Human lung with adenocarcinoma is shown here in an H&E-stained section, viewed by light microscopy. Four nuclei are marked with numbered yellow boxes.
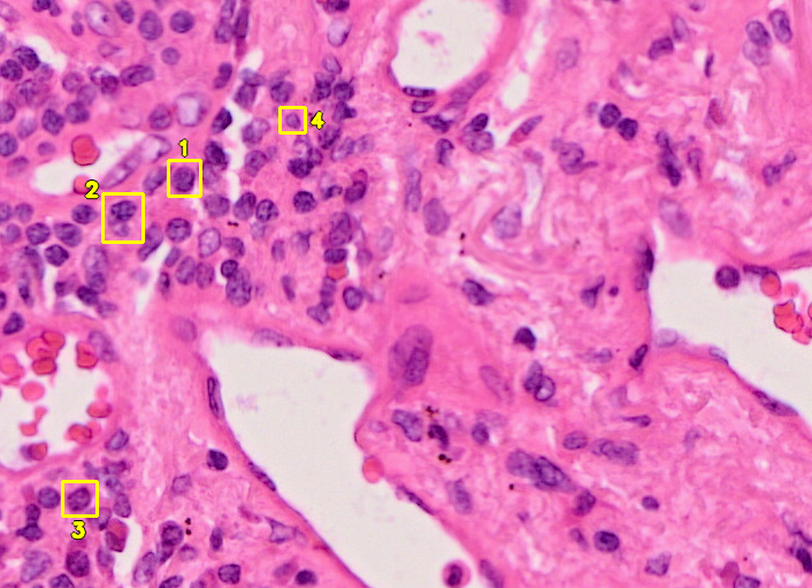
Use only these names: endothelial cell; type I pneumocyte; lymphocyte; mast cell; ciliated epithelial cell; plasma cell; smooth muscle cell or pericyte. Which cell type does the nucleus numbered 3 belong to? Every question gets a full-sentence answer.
In this section, the cell tagged 3 is a plasma cell.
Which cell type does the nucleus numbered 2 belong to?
Here, the cell given the number 2 is a lymphocyte.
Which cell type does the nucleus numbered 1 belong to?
Heads up, the cell numbered 1 is a lymphocyte.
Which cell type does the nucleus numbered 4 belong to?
Number 4 among the marked cells is a lymphocyte.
